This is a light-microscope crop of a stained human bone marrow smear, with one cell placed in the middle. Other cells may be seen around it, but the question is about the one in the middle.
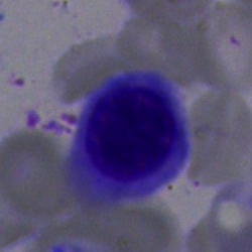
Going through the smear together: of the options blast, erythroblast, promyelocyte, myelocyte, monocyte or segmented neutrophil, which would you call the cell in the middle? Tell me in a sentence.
Here the centrally located cell is an erythroblast.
